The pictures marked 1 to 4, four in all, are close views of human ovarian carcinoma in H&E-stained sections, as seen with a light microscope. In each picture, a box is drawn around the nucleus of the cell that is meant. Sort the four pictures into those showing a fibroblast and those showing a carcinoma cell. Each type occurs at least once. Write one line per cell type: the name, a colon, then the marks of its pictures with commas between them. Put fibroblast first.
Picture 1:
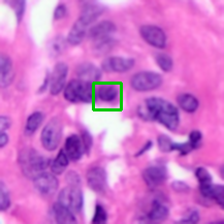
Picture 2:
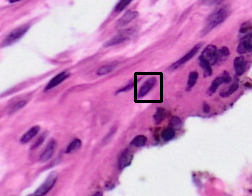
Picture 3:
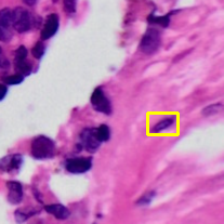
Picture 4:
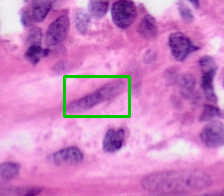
fibroblast: 2, 3, 4
carcinoma cell: 1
